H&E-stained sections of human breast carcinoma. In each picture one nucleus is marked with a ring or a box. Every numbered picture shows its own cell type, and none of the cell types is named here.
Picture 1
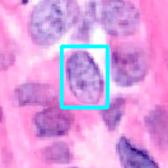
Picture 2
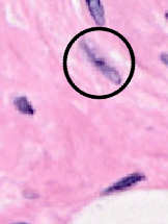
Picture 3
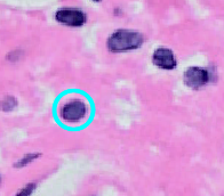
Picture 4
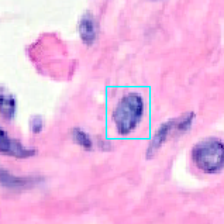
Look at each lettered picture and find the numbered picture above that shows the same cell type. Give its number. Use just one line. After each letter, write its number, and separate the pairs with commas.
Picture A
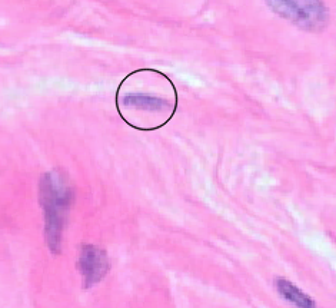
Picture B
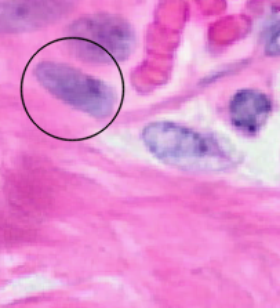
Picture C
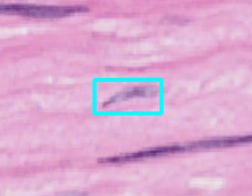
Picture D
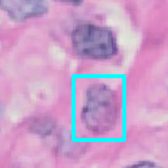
A 2, B 4, C 2, D 1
